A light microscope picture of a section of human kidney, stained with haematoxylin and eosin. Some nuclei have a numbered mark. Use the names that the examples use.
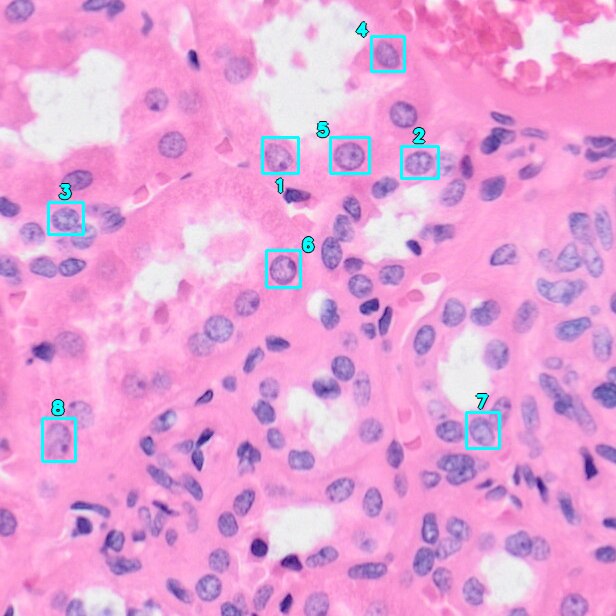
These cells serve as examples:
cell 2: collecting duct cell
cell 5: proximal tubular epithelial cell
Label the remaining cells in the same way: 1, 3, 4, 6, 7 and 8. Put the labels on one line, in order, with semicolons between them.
proximal tubular epithelial cell; collecting duct cell; proximal tubular epithelial cell; proximal tubular epithelial cell; collecting duct cell; proximal tubular epithelial cell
